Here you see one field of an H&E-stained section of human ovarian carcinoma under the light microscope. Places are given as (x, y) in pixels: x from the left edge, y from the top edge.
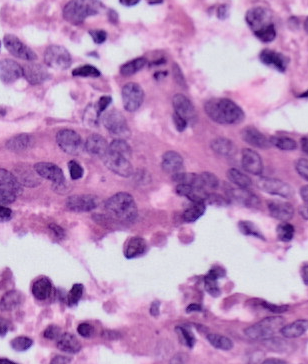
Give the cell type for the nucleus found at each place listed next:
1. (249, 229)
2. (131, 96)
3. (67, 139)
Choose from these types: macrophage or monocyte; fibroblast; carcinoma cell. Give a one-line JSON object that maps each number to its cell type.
{"1": "macrophage or monocyte", "2": "carcinoma cell", "3": "carcinoma cell"}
